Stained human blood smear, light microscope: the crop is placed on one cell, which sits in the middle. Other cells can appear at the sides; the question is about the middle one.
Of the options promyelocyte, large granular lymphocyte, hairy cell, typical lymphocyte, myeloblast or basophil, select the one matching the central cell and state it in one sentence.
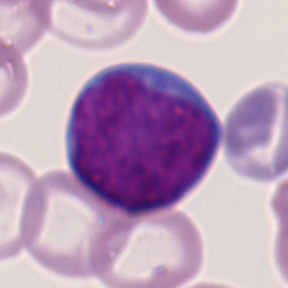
Regarding the central cell, it is a myeloblast.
